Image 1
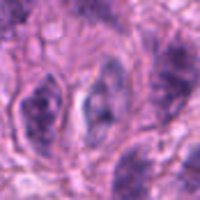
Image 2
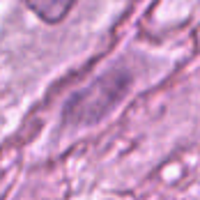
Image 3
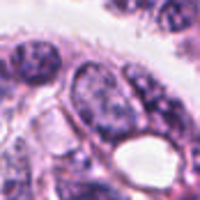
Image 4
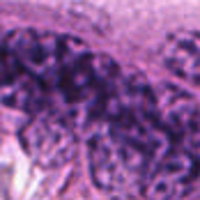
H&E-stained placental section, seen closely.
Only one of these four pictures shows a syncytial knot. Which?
Picture 4.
